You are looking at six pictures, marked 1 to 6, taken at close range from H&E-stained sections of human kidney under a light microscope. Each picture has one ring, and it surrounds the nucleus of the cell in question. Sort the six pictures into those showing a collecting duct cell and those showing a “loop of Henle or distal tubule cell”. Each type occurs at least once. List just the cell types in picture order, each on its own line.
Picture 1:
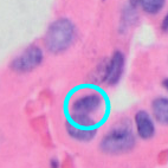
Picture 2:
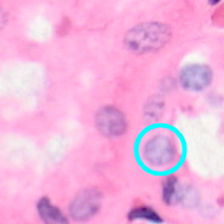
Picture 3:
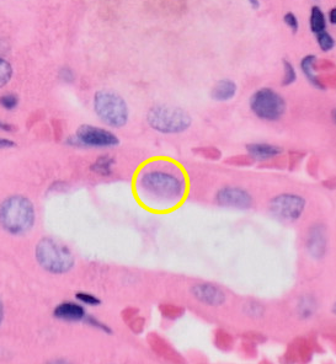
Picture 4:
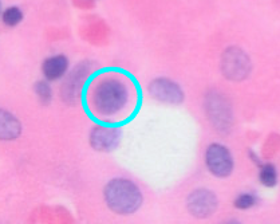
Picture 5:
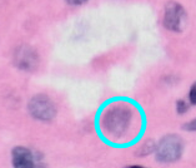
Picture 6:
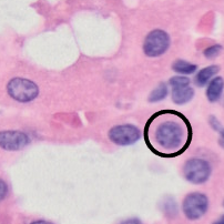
collecting duct cell
collecting duct cell
loop of Henle or distal tubule cell
collecting duct cell
loop of Henle or distal tubule cell
loop of Henle or distal tubule cell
